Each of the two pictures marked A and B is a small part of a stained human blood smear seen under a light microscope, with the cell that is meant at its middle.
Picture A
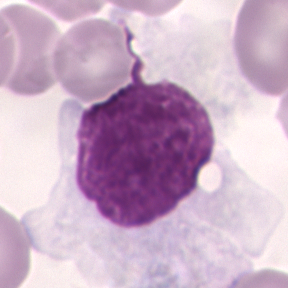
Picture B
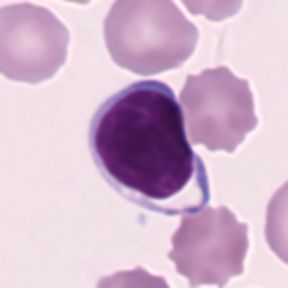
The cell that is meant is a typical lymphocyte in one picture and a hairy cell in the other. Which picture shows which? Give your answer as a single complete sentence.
The cell in picture A is a hairy cell, and the one in picture B is a typical lymphocyte.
